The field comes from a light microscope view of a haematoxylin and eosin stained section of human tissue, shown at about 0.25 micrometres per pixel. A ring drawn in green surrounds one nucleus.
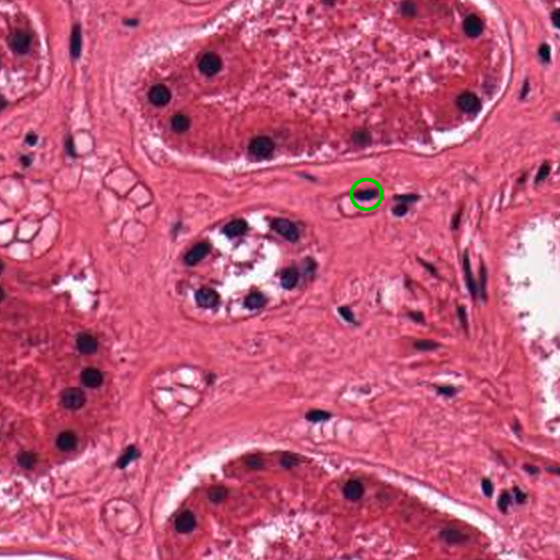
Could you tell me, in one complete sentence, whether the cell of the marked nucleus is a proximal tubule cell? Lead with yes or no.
No, the marked nucleus forms part of a supporting cell instead of a proximal tubule cell.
